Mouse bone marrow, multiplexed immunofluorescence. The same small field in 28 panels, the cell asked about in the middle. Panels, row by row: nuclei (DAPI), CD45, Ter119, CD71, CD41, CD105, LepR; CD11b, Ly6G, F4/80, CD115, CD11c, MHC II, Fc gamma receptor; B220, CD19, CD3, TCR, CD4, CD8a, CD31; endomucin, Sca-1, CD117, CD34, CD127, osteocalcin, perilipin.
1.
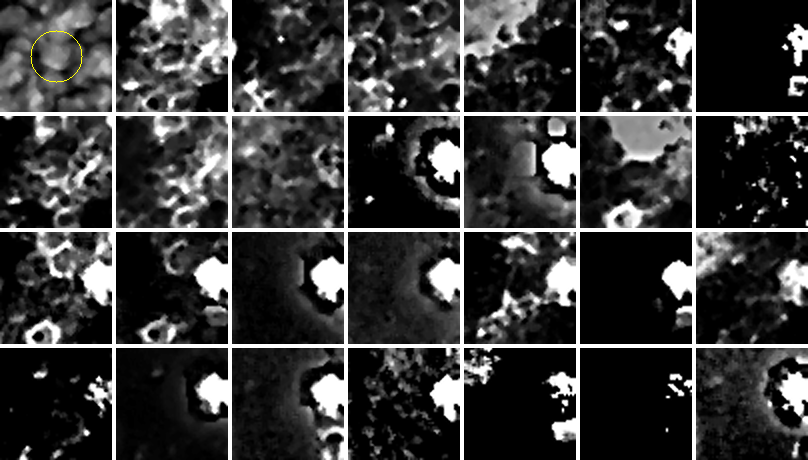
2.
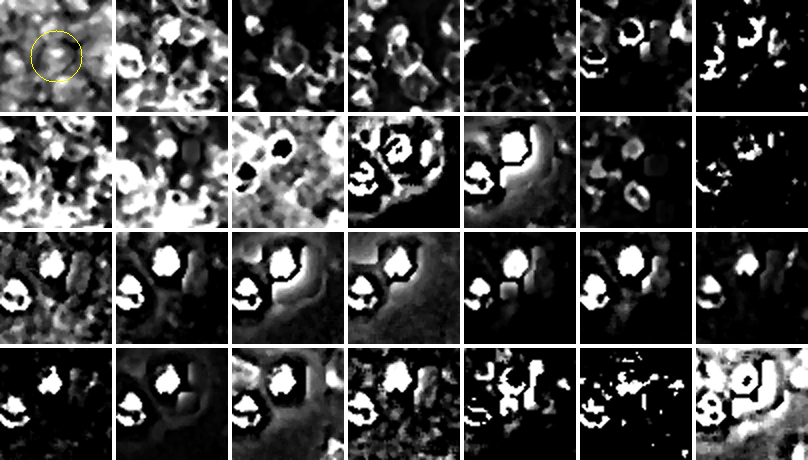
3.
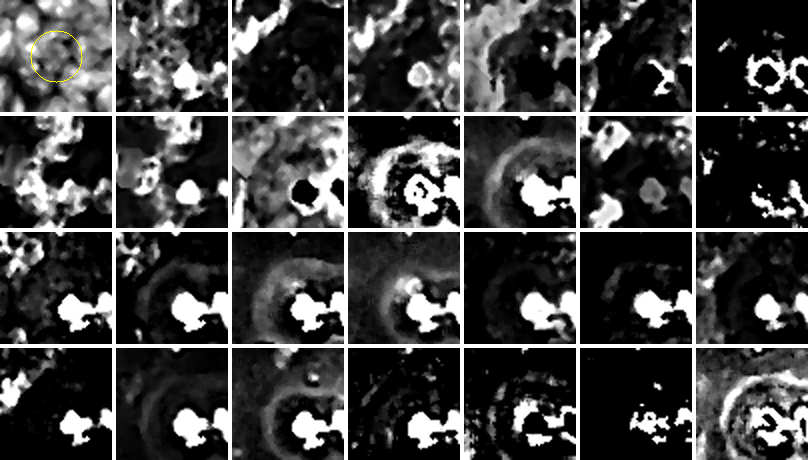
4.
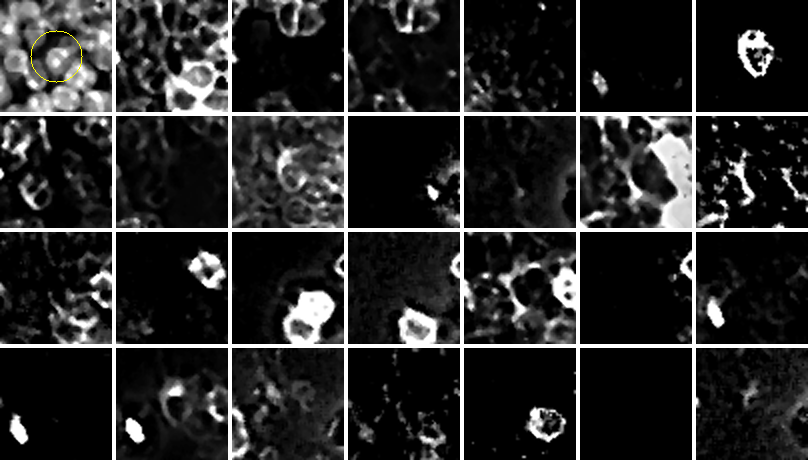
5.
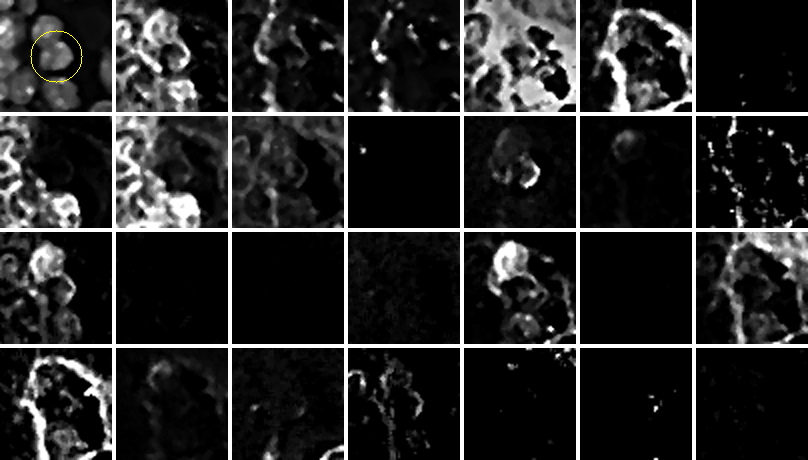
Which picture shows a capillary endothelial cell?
Picture 5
